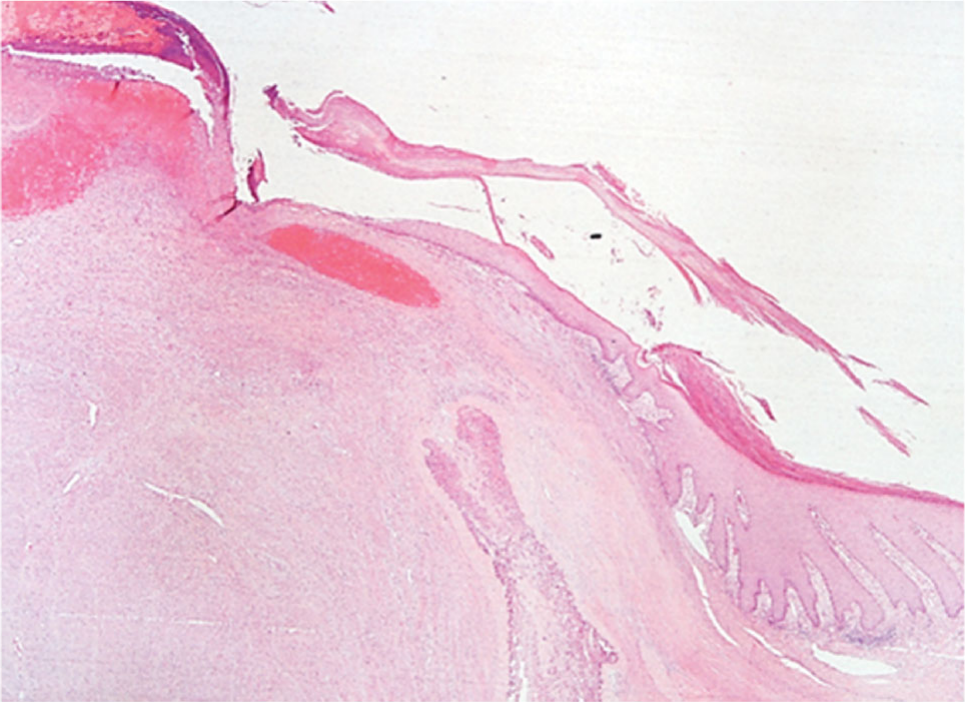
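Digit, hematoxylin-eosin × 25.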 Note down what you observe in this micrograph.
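This low-power view of skin shows a large, pale pink, cellular mass in the dermis. The mass fills most of the field. It bulges up toward the surface. At the right, the surface is still covered by stratified squamous epidermis with elongated rete ridges and a thick layer of flaky, pink keratin that has lifted away. Toward the upper left the epidermis ends, and the surface over the mass is ulcerated. There it is covered by a bright red crust of blood and fibrin. A separate pool of red blood lies just beneath the surface. Cell detail cannot be resolved at this magnification.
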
